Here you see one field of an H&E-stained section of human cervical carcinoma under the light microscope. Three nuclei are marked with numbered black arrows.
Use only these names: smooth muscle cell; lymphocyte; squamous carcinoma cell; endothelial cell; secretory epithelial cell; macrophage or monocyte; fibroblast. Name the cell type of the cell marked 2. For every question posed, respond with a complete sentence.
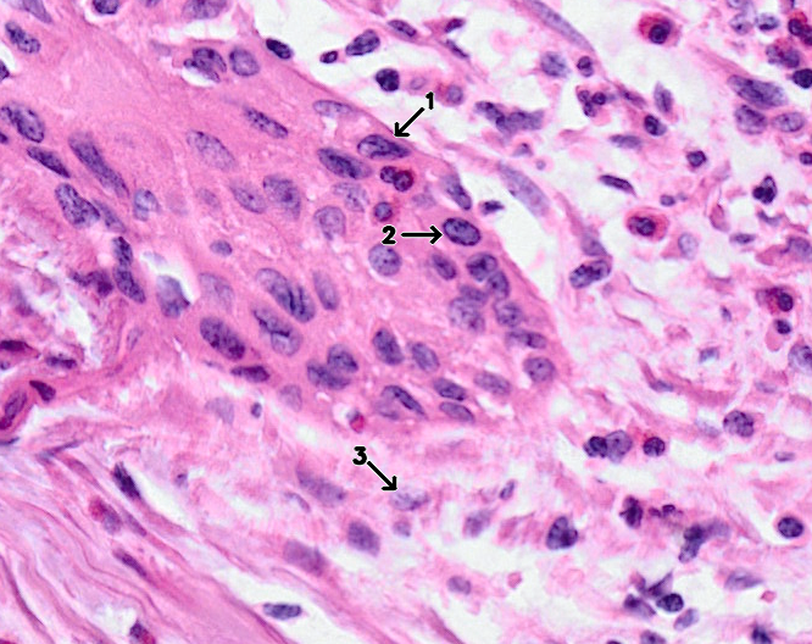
The cell numbered 2 has been identified as a squamous carcinoma cell.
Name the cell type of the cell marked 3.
The cell pointed out by number 3 is a fibroblast.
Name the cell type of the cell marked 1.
To a squamous carcinoma cell belongs the nucleus marked 1.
